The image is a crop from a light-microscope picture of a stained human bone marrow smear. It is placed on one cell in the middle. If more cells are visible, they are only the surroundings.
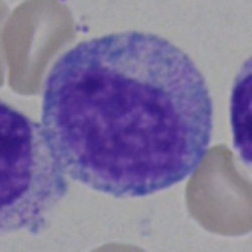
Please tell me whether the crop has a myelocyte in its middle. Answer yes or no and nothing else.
yes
